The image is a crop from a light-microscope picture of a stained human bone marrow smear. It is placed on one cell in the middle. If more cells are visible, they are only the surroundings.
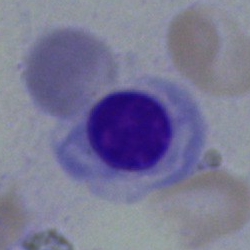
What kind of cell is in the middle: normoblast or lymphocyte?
normoblast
